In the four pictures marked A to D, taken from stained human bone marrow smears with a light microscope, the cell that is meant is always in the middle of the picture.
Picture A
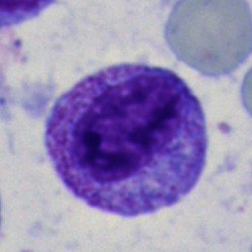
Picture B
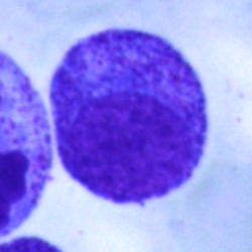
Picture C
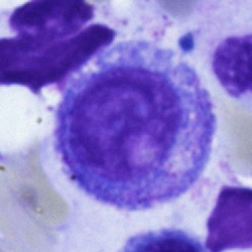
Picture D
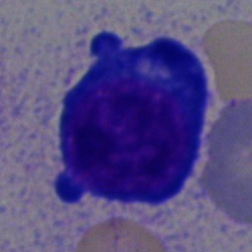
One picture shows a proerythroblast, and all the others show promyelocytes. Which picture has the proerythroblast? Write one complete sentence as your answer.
Picture D shows the proerythroblast.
